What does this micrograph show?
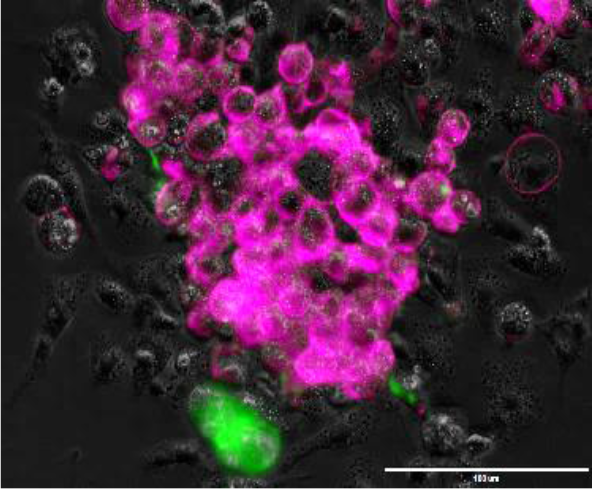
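In the middle lies a tight cluster of rounded cells whose outlines are ringed in magenta, while around them lie flatter, spread-out cells seen only in grey. Toward the bottom a bright green patch and a few thin green strands run between the cells.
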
